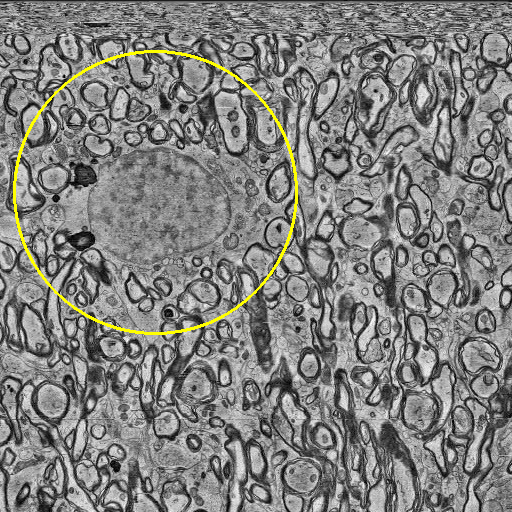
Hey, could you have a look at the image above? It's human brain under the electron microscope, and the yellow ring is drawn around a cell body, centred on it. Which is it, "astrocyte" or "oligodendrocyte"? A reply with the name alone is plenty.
oligodendrocyte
